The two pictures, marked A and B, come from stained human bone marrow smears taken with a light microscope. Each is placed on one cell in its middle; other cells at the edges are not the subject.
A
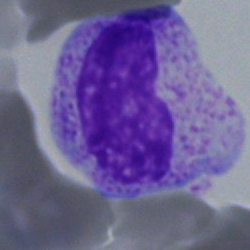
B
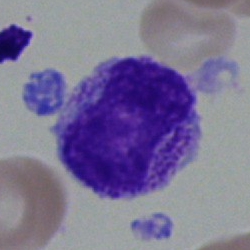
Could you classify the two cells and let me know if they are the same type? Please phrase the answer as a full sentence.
Yes, the two central cells, one per crop, are metamyelocytes.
